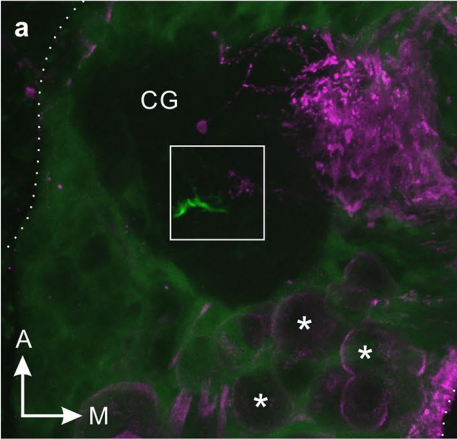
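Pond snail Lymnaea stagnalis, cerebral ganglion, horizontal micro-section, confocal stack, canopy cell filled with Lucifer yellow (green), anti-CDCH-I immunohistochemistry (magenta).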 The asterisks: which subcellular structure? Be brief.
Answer: cell bodies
